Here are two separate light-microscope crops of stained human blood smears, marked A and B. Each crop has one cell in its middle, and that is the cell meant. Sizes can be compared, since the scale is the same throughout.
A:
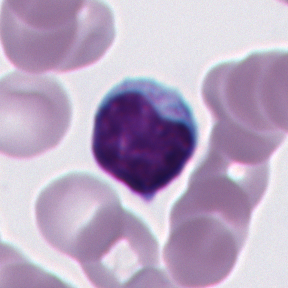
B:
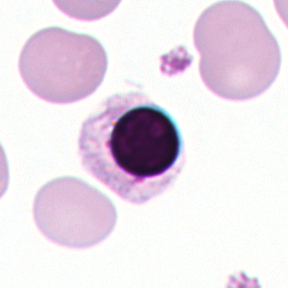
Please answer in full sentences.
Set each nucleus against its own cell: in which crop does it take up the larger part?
In crop A the nucleus takes up the larger part of its cell.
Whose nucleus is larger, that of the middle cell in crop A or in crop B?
Crop A shows the larger nucleus; it covers about 2 times the area of the nucleus in crop B.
